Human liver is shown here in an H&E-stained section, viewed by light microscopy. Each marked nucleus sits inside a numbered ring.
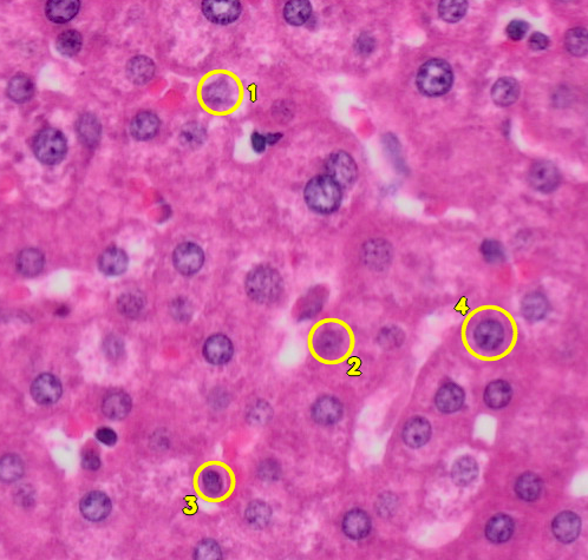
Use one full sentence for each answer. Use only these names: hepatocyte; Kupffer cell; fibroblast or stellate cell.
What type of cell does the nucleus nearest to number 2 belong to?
The nearest nucleus to number 2 belongs to a Kupffer cell.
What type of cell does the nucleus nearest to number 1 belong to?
Closest to number 1 lies the nucleus of a hepatocyte.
